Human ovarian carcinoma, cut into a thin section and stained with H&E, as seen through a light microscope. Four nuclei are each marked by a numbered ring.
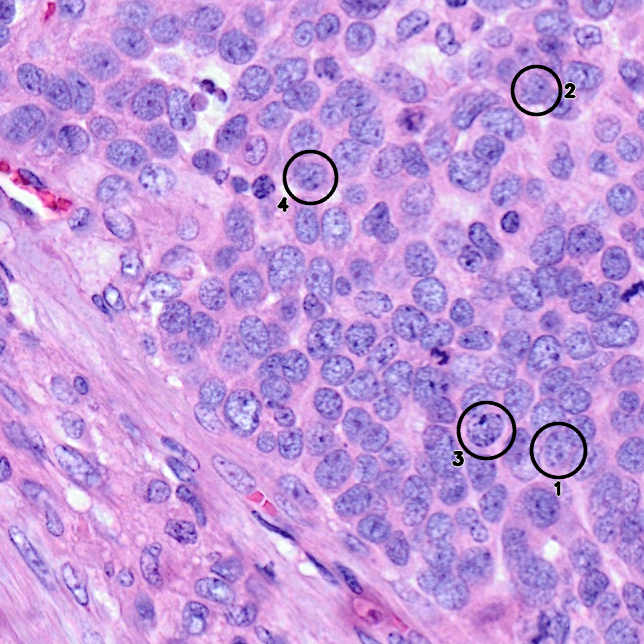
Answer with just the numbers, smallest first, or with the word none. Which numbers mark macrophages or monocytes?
3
